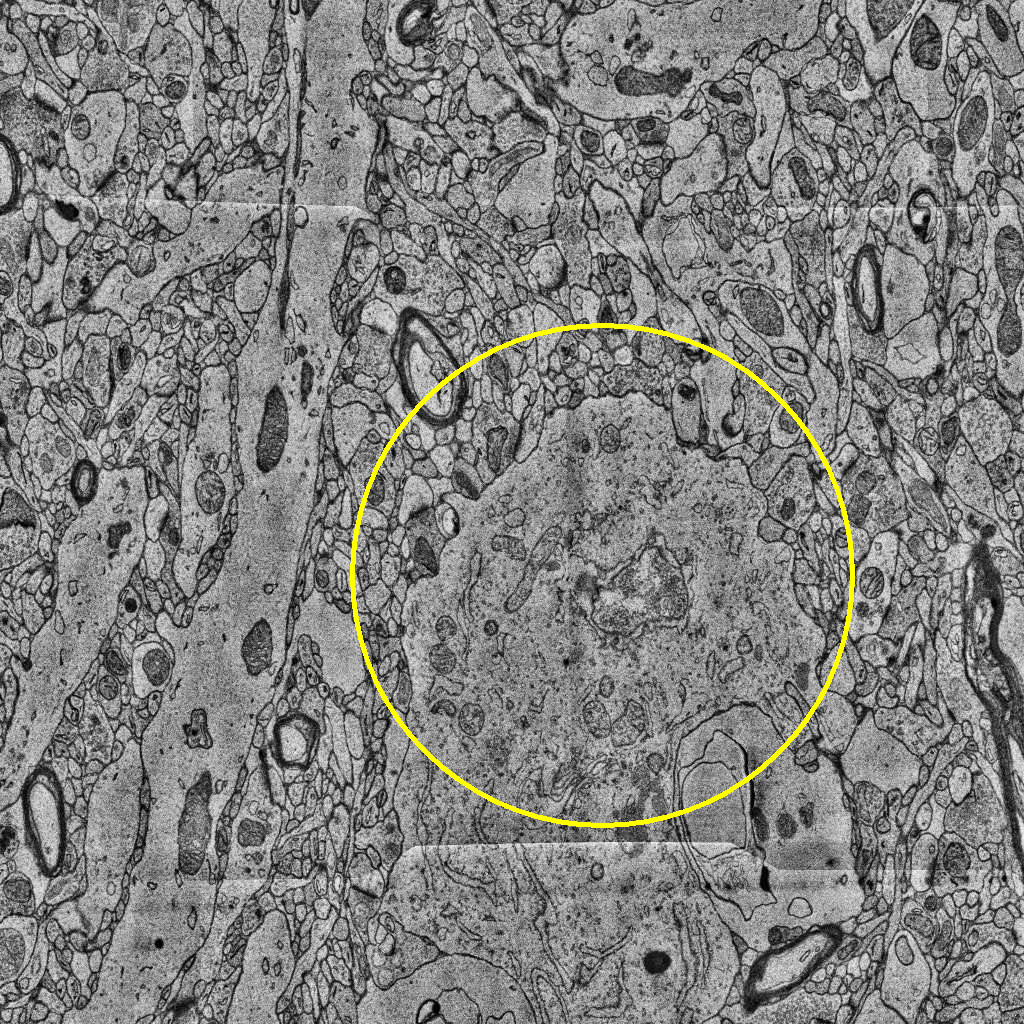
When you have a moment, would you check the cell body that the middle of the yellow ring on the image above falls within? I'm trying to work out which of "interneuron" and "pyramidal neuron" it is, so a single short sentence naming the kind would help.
This cell body belongs to an interneuron.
